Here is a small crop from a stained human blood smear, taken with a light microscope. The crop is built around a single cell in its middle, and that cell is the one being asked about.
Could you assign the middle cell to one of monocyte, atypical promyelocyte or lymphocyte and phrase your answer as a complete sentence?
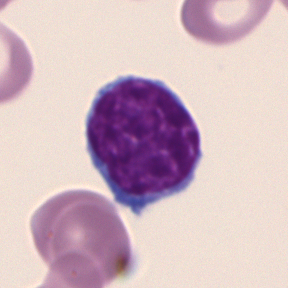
The middle of this crop holds a lymphocyte.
